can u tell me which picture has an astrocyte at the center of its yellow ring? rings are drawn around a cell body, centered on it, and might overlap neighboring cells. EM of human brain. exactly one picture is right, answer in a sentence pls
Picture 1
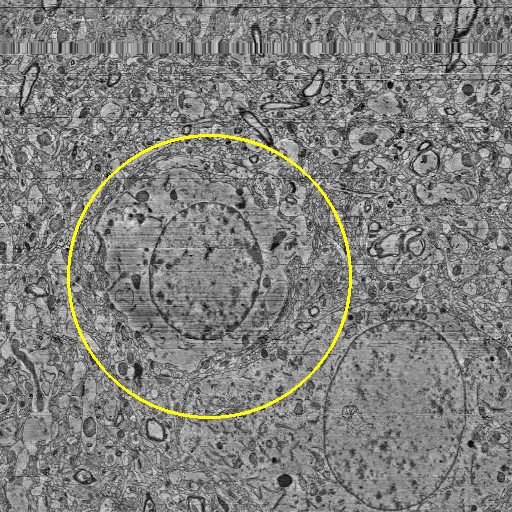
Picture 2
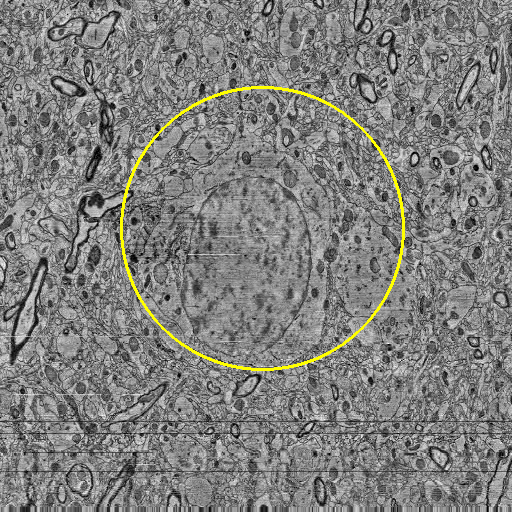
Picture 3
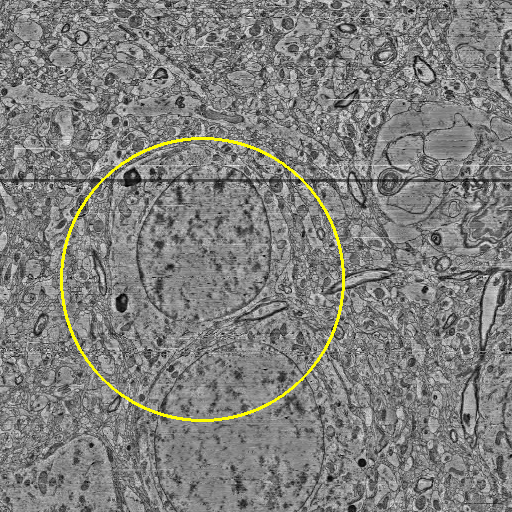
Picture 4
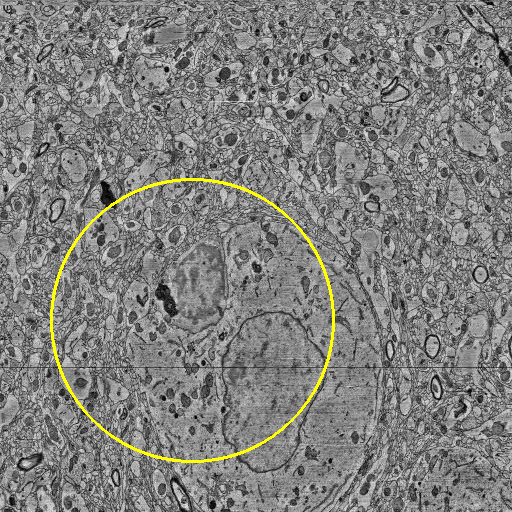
Picture 1 is the one.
